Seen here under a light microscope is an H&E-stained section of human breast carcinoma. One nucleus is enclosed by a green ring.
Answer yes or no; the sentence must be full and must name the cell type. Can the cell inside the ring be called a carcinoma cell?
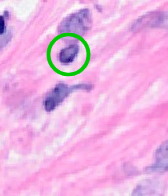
No, sorry, but the cell inside the ring is a lymphocyte and not a carcinoma cell.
